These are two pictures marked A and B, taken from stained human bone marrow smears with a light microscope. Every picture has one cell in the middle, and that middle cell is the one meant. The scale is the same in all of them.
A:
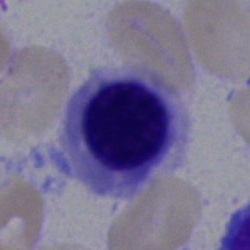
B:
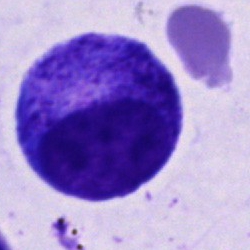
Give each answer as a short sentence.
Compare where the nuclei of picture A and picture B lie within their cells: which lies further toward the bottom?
It is the nucleus in picture B that lies further toward the bottom of its cell.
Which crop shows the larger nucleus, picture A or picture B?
Larger is the nucleus in picture B, at roughly 2.5 times the area of the other.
